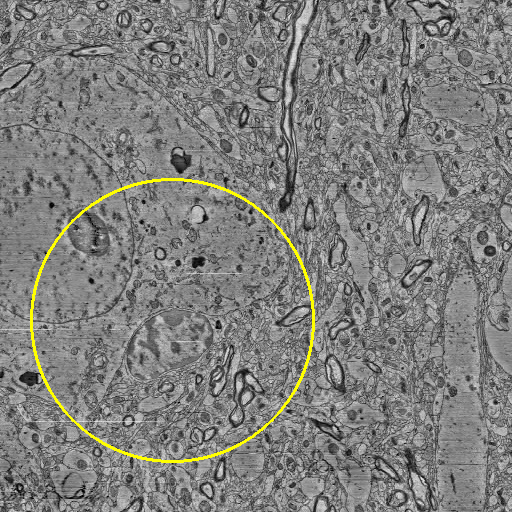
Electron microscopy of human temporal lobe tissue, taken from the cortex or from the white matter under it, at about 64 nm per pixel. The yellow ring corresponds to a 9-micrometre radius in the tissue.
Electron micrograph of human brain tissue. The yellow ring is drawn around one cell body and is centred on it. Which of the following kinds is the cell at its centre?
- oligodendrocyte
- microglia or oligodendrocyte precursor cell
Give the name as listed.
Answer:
microglia or oligodendrocyte precursor cell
